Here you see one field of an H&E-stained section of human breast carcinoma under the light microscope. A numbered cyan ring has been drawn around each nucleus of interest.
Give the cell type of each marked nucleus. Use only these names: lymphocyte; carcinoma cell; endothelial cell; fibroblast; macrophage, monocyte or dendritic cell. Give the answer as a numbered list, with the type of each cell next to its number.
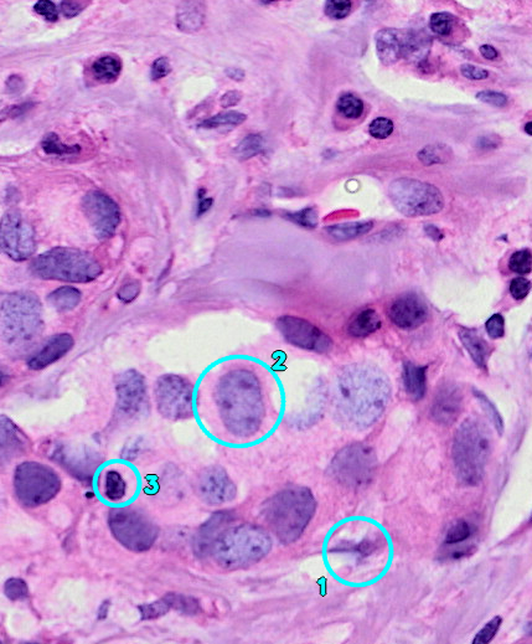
1. fibroblast
2. carcinoma cell
3. lymphocyte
